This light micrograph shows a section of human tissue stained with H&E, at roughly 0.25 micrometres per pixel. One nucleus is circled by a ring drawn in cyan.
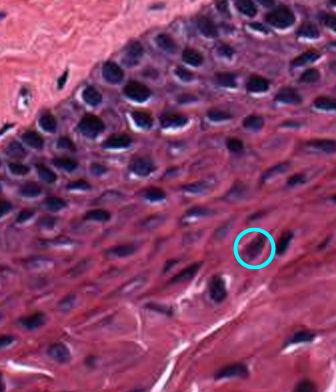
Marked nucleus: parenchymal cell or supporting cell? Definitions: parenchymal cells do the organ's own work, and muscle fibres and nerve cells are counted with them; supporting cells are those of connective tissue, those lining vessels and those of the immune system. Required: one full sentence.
The parenchymal cell that owns the marked nucleus is a squamous epithelial cell.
